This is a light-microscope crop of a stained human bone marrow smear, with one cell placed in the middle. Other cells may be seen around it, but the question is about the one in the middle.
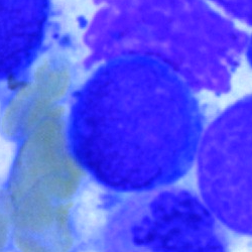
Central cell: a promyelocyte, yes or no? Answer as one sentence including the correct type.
No, the central cell does not count as a promyelocyte; it is a blast.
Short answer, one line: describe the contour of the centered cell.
Its outline is smooth, with no projections anywhere along the edge.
